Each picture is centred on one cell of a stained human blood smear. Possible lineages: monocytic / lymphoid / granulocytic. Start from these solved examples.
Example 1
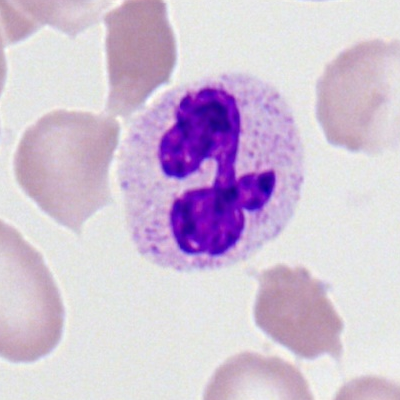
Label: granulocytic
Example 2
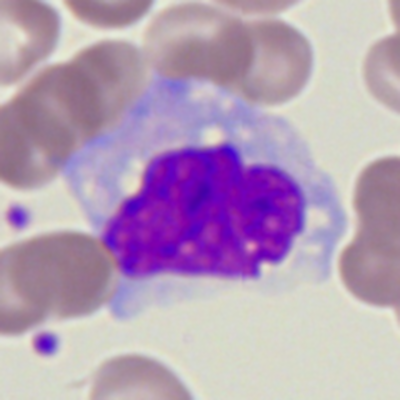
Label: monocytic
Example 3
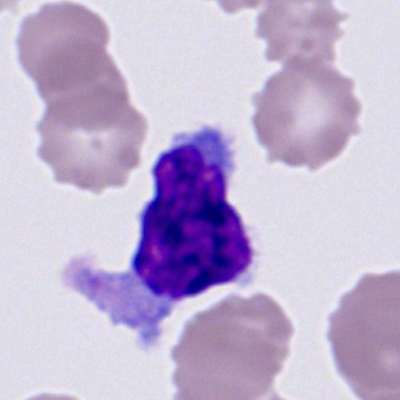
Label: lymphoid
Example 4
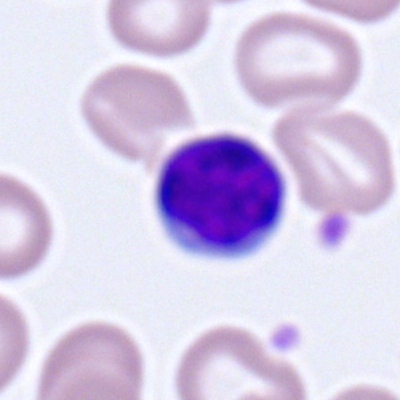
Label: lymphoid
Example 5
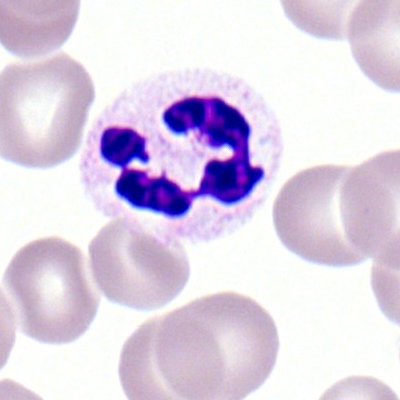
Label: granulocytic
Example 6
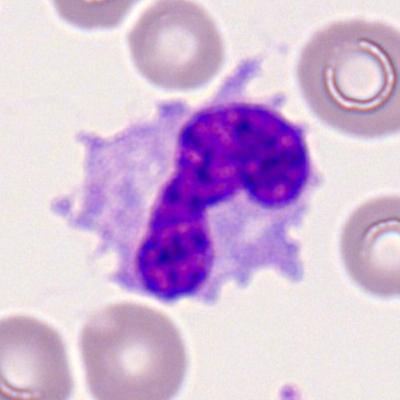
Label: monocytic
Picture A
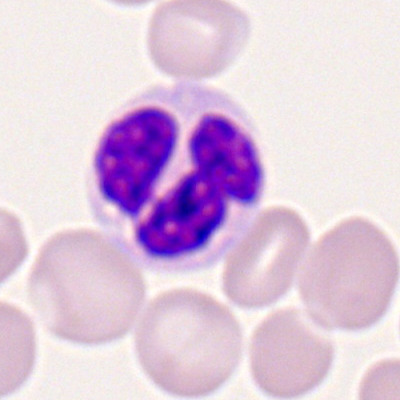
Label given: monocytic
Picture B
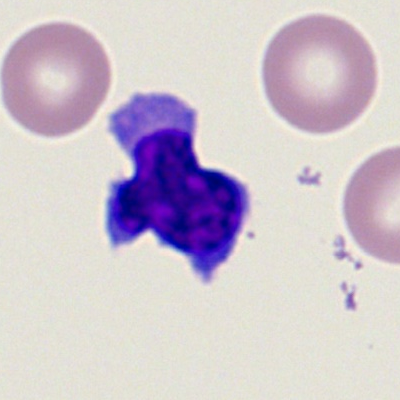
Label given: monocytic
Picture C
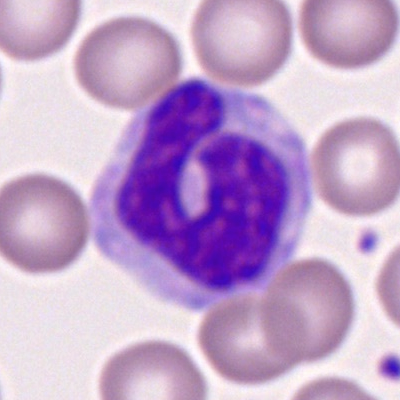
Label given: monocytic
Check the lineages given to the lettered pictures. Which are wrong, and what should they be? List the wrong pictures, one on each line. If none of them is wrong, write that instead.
A is labelled monocytic; correct label: granulocytic
B is labelled monocytic; correct label: lymphoid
